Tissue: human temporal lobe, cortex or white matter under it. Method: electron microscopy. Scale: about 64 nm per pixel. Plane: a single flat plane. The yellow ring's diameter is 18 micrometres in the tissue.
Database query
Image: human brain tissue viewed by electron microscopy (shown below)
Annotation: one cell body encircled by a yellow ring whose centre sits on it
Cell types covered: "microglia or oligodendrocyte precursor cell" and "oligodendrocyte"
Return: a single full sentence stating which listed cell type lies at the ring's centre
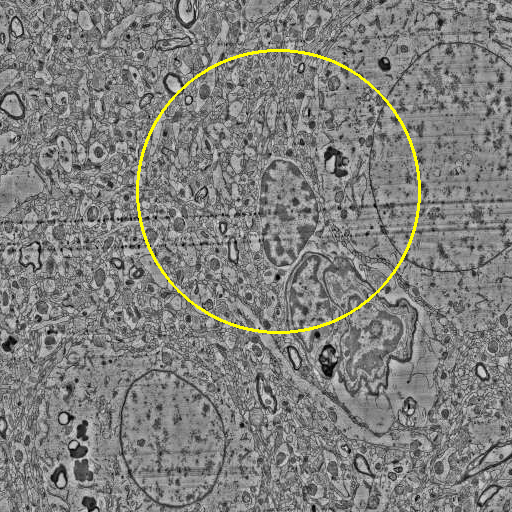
In the image, the cell lying at the ring's centre is a microglial cell or oligodendrocyte precursor cell.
